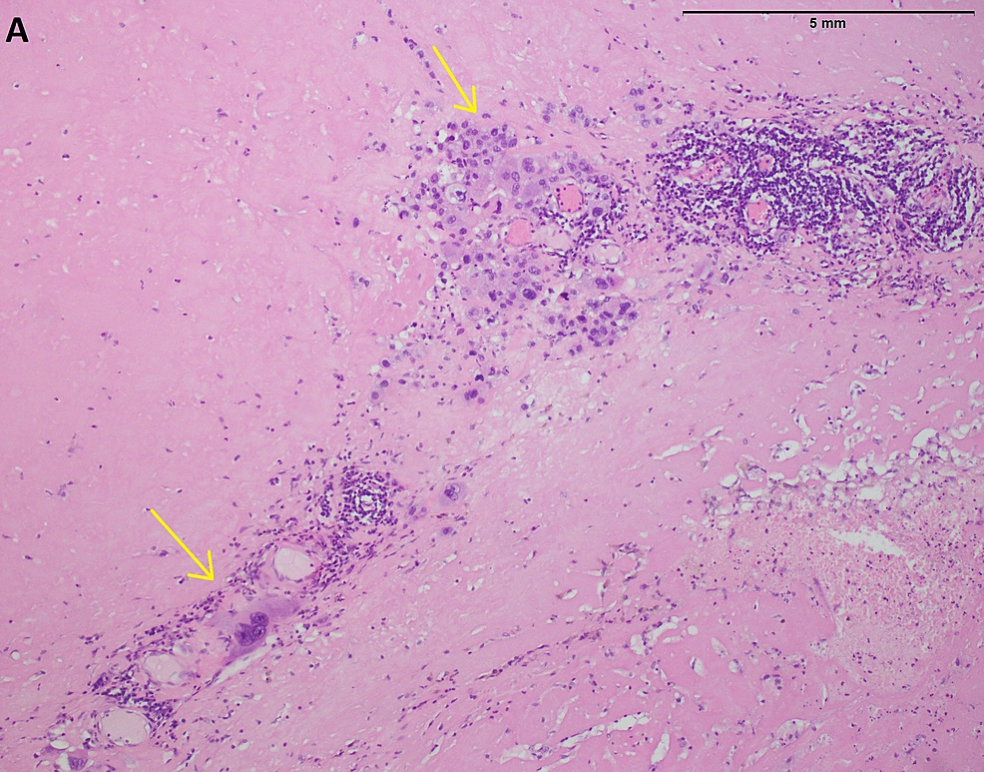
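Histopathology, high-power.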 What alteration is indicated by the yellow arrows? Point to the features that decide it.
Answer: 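The nuclei of the marked cells vary in size and shape. The cell at the lower arrow holds several dark nuclei in one purple cytoplasm.
Hence: nuclear pleomorphism and multinucleation.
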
